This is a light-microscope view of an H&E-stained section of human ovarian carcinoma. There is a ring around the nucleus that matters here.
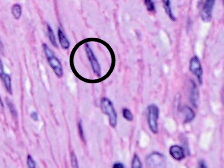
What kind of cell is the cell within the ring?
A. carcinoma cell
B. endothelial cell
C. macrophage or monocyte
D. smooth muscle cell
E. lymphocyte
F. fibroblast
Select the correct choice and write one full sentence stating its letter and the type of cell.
The choice that fits is option F, as the cell within the ring is a fibroblast.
